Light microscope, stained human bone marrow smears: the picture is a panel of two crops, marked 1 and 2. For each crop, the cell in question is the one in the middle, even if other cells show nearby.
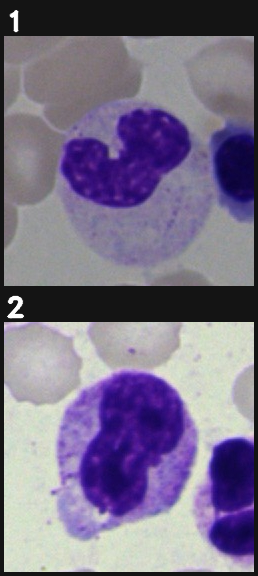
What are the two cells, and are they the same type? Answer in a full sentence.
Yes, the cells at the centres of the two crops are band neutrophils.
